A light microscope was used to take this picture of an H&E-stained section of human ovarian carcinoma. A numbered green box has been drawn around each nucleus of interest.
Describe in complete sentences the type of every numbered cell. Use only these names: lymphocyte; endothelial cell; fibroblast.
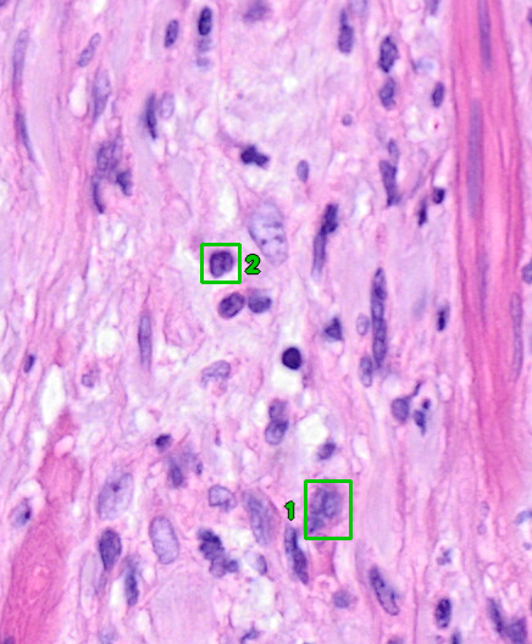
Cell 1 is an endothelial cell and cell 2 is a lymphocyte.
